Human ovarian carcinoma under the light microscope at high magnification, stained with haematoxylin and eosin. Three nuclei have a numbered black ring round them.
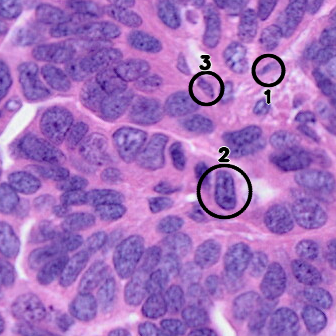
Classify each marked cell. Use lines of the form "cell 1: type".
cell 1: fibroblast
cell 2: carcinoma cell
cell 3: fibroblast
